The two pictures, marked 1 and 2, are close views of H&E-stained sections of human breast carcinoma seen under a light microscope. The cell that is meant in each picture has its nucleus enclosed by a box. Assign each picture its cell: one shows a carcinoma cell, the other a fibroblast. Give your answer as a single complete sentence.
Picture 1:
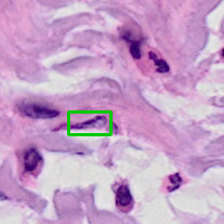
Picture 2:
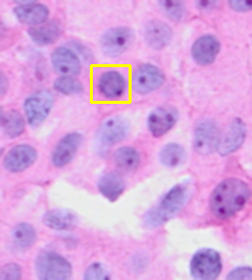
Picture 1 is of a fibroblast, and picture 2 is of a carcinoma cell.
